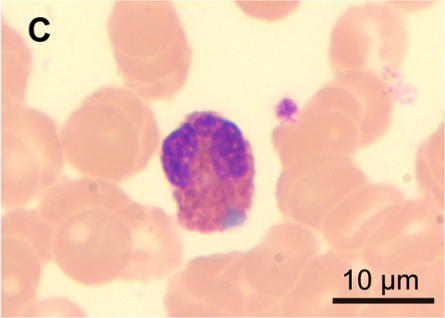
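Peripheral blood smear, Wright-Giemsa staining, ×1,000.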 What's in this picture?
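A white cell among red cells has a dark purple lobed nucleus and cytoplasm filled with coarse orange-red granules, with a small pale blue patch at the lower edge of its cytoplasm. This is an eosinophil carrying a light blue cytoplasmic inclusion.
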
